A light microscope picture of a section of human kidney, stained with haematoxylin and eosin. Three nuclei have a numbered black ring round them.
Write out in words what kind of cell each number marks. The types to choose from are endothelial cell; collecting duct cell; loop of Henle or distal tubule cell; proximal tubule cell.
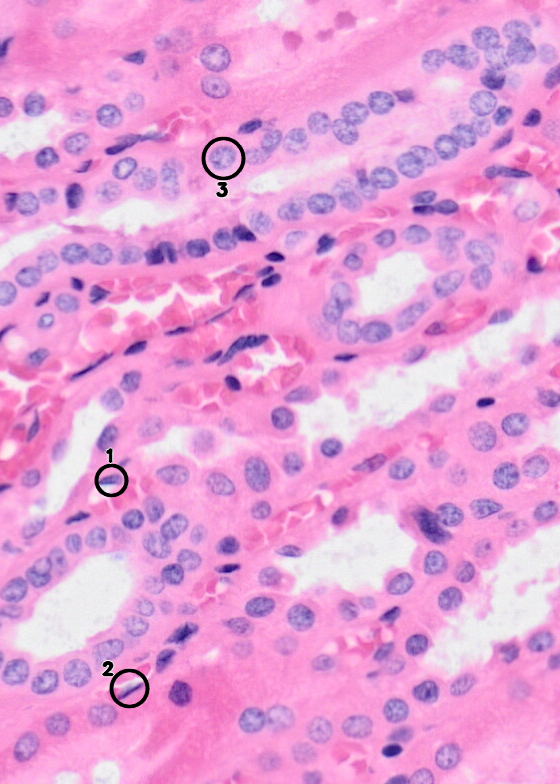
Cells 1 and 2 are endothelial cells. Cell 3 is a collecting duct cell.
